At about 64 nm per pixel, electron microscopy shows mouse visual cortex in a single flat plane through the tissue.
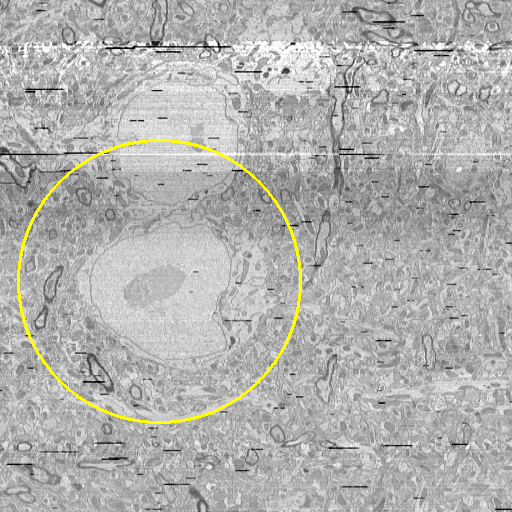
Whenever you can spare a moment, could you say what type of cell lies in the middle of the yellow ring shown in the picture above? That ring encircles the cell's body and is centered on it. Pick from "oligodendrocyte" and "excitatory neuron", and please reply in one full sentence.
The cell whose body sits at the middle of the yellow ring is an excitatory neuron.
